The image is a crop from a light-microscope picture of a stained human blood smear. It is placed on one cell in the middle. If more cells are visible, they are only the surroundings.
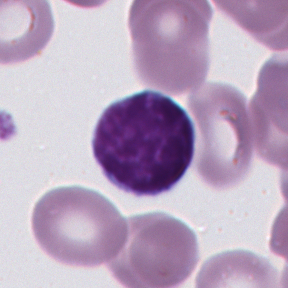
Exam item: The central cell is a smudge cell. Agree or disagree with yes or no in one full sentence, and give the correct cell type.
No, a smudge cell is not what the central cell is; it is a typical lymphocyte.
